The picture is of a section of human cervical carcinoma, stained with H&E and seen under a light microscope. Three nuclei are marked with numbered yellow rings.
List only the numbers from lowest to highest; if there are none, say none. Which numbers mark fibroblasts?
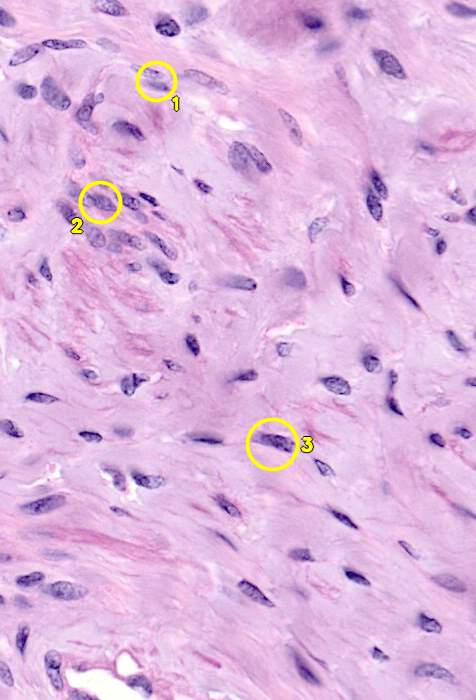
1, 3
